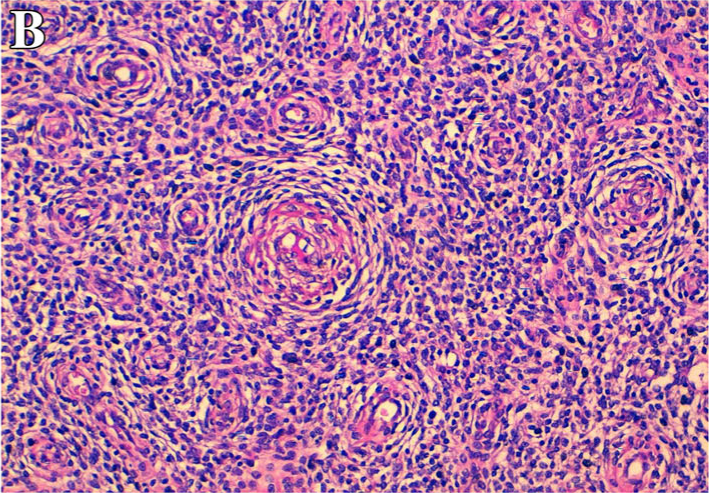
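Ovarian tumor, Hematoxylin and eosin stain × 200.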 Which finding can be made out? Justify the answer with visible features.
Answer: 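Striking whorling pattern. Spindle cells are arranged in concentric rings around small round vessels. Many such concentric whorls are spread across the field.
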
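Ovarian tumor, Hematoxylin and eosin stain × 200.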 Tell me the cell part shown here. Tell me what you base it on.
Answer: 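Densely packed cells have dark-staining oval nuclei. Cytoplasm is scant around the nuclei. So: oval hyperchromatic nuclei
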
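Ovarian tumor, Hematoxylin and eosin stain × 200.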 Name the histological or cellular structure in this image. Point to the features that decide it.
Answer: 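Numerous small round vessels with pink walls are scattered closely through the field. Vessel walls appear thickened and eosinophilic.
Hence: small arterioles.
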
